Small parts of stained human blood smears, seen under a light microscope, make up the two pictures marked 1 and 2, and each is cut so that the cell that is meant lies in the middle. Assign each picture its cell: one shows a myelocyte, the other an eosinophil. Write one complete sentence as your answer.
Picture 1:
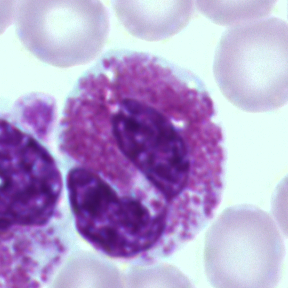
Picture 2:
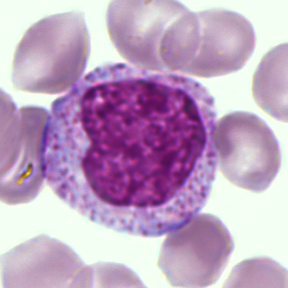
Picture 1 shows an eosinophil and picture 2 shows a myelocyte.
